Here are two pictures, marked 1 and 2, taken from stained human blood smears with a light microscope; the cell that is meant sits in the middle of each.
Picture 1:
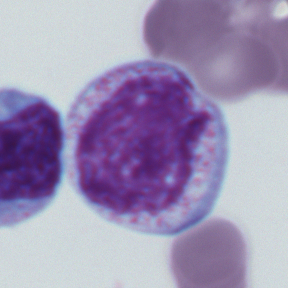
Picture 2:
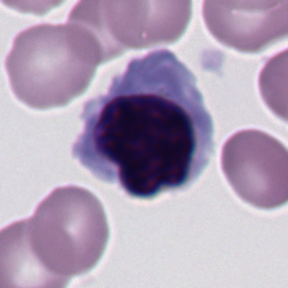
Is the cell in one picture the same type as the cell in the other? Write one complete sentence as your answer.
No, the types are not the same, since picture 1 shows a myelocyte and picture 2 a normoblast.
